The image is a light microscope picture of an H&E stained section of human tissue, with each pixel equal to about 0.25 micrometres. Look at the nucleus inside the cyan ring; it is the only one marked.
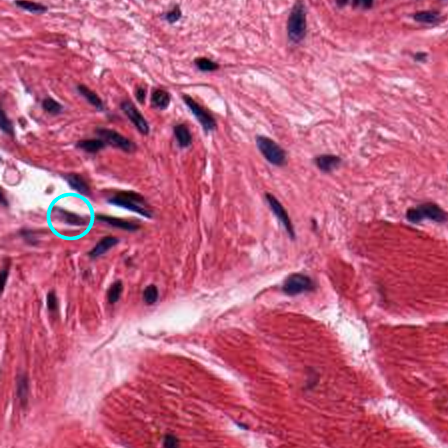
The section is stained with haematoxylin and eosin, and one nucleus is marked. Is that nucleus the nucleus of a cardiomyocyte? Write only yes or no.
no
